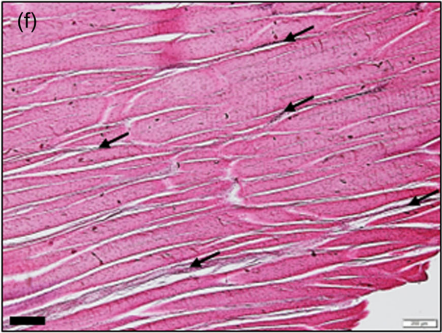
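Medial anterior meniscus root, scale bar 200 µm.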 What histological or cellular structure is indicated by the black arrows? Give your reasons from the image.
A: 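Blood vessels. The arrows point to narrow elongated dark channels running parallel between fibre bundles.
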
